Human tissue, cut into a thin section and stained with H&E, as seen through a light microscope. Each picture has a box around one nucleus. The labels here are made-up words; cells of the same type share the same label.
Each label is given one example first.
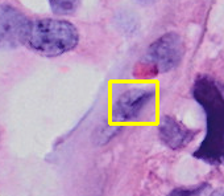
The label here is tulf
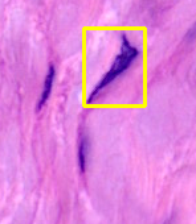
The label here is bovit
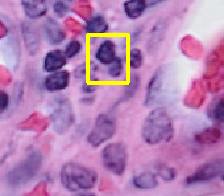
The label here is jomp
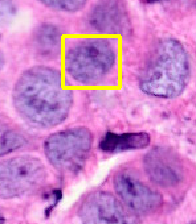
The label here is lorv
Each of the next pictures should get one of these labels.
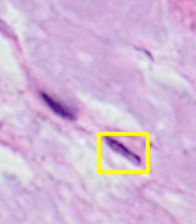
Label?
bovit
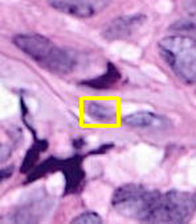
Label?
tulf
